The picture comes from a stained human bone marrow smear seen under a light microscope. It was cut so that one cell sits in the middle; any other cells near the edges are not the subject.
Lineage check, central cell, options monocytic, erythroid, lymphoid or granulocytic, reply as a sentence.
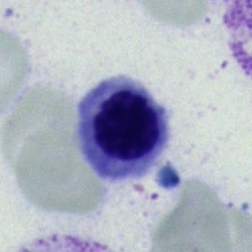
Recorded as erythroid in lineage is the cell in the middle of the crop.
